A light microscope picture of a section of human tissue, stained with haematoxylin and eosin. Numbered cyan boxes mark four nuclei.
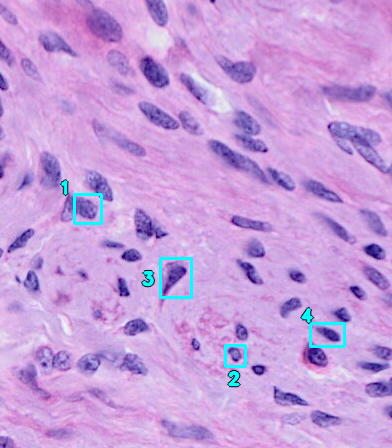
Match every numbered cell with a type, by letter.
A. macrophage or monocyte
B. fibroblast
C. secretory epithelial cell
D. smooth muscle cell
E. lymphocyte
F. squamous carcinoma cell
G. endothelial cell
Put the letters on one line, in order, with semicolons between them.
B; D; B; B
